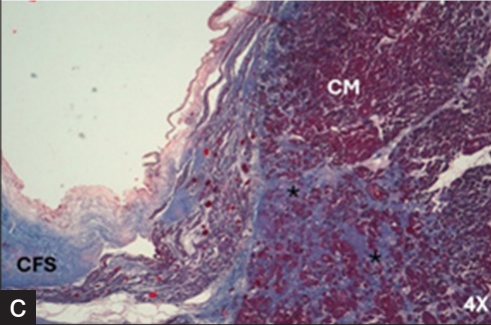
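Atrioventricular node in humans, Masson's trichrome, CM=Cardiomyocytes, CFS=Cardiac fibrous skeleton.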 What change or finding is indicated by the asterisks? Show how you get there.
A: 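Fibrosis zone. The asterisks lie in areas stained blue among dark red-purple muscle. The blue-stained areas separate and replace groups of muscle fibres.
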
